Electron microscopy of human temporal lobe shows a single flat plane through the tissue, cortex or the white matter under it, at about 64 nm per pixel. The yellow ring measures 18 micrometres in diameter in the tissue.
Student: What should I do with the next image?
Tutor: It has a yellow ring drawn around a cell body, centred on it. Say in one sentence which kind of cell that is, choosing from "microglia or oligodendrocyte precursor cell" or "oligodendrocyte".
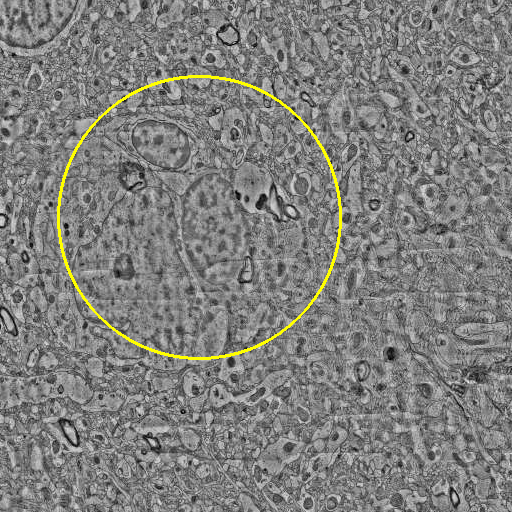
The ring's centre is occupied by an oligodendrocyte.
